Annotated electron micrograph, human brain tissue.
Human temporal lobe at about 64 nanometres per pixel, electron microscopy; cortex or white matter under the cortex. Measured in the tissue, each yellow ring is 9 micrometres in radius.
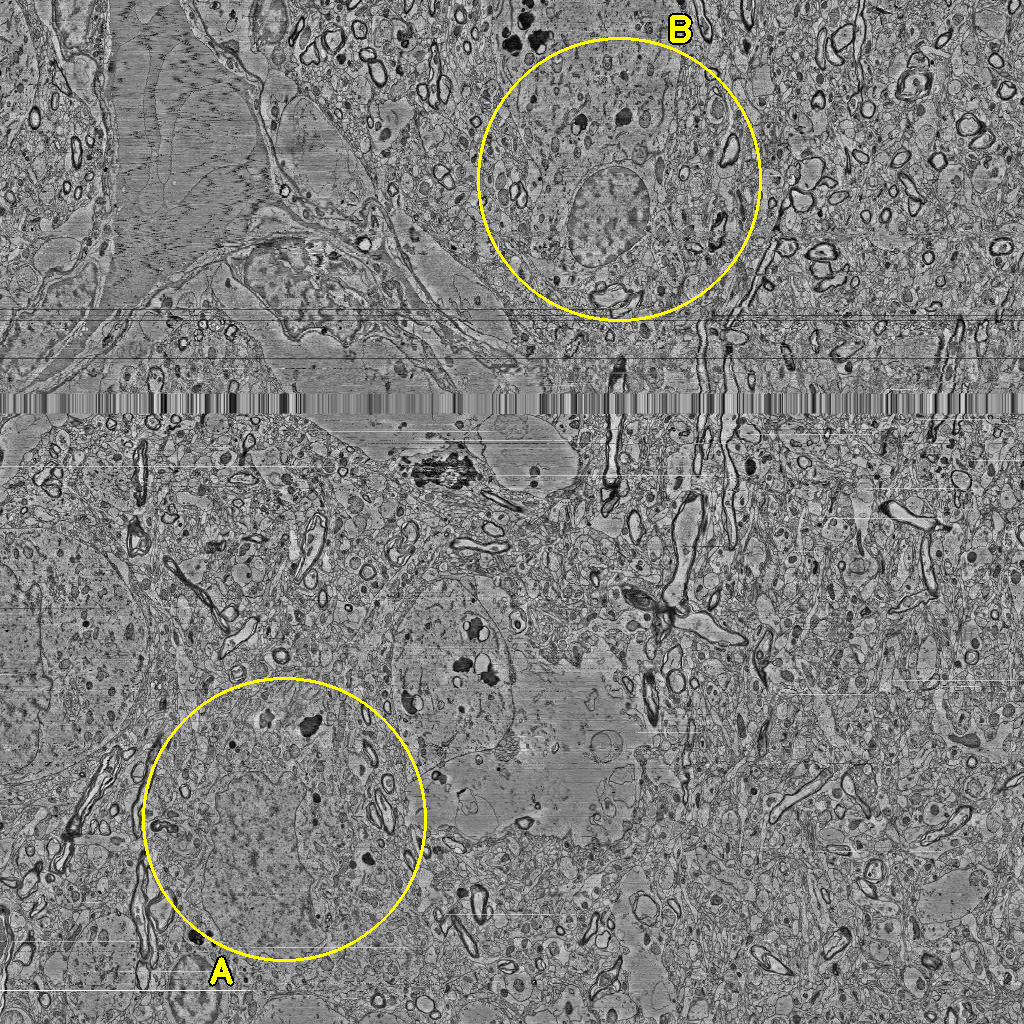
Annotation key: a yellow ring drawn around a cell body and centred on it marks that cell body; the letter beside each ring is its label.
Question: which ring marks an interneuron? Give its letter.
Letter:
A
